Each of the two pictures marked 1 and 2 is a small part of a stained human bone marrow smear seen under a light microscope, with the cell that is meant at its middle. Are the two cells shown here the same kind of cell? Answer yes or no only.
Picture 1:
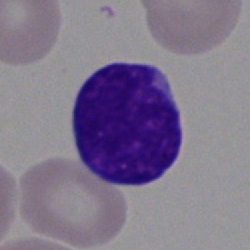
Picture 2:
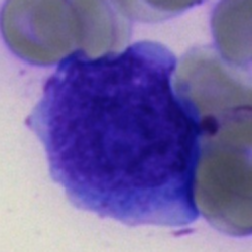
yes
